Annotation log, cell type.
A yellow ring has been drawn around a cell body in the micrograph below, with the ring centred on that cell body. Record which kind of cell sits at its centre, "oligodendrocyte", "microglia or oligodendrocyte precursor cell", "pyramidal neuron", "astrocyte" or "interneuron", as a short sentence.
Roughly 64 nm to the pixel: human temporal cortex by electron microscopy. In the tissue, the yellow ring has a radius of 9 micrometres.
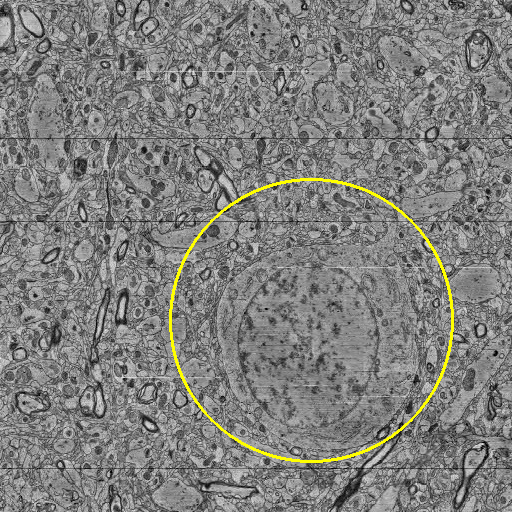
The cell at the centre of this ring is an interneuron.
